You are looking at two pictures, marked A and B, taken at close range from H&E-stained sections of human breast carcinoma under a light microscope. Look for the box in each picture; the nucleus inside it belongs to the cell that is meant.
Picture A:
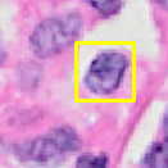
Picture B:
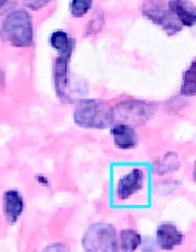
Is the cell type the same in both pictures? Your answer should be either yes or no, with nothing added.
no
